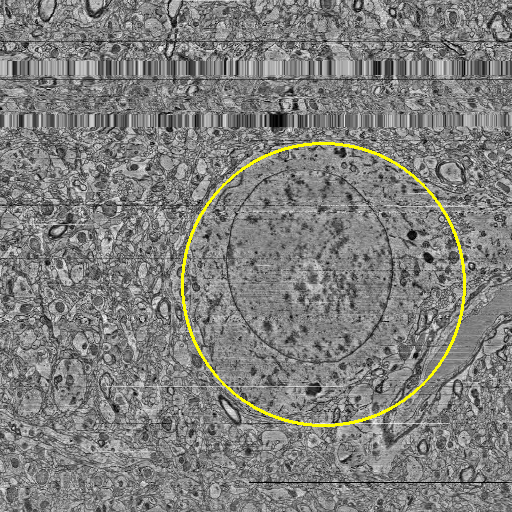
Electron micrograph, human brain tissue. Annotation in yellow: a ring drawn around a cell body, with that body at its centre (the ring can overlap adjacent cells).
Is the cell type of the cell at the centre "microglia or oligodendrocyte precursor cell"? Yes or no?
No, it is of another type.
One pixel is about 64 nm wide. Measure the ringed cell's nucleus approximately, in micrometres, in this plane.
In this plane, the nucleus of the cell at the centre of the ring measures about 13 by 11 micrometres.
